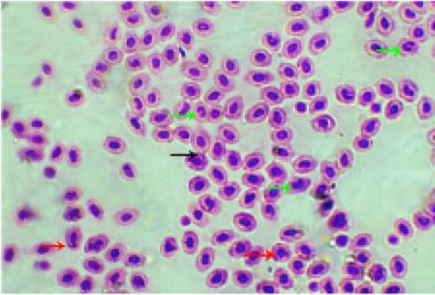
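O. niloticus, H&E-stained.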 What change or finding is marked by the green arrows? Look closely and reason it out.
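Kidney shape. The green arrows point at oval cells with dark purple nuclei in a crowded field.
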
